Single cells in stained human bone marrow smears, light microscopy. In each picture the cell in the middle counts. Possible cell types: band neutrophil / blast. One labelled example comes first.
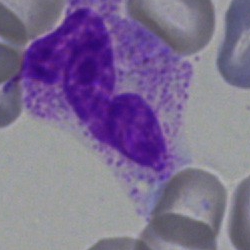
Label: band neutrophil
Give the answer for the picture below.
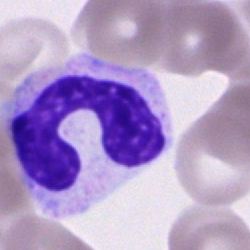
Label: band neutrophil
